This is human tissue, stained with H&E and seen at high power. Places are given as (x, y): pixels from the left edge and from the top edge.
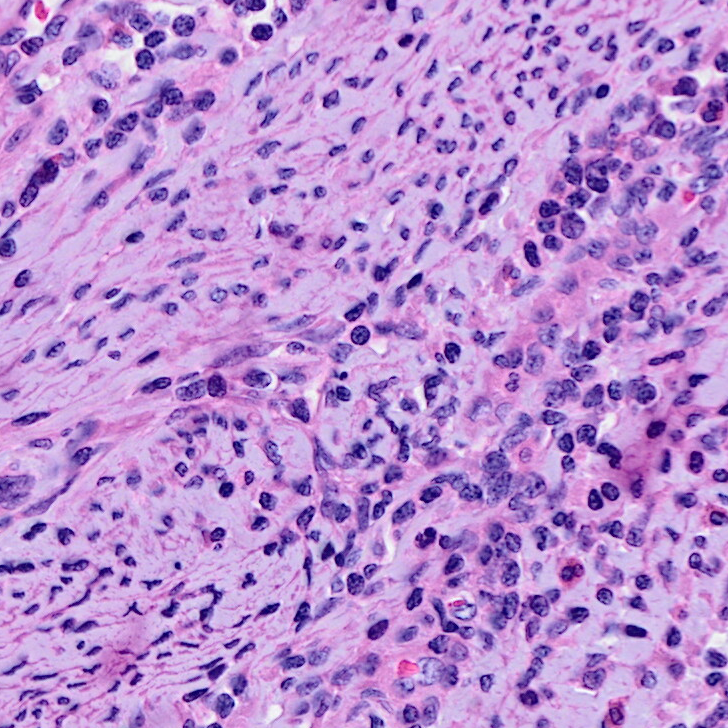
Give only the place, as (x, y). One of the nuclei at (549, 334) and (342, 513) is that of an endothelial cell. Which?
(549, 334)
